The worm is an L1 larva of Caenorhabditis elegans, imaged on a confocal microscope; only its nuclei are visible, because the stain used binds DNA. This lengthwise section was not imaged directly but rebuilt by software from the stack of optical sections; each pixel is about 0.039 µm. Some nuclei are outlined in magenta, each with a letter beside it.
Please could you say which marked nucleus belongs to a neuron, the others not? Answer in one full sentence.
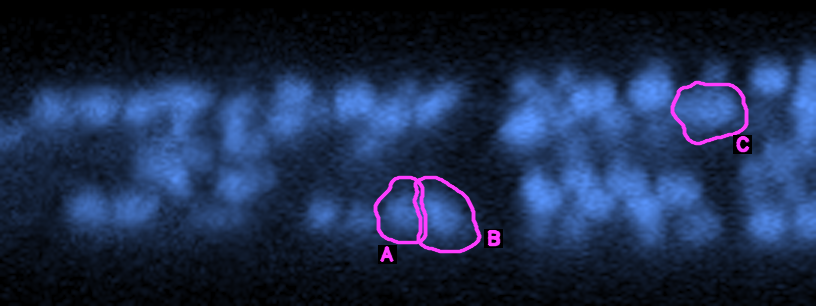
A is the one that belongs to a neuron.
